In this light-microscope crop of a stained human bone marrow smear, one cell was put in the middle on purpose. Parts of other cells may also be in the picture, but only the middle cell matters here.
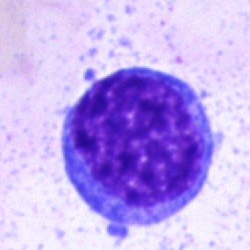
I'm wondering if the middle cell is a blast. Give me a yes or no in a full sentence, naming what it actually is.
Yes, the middle cell is classified as a blast.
